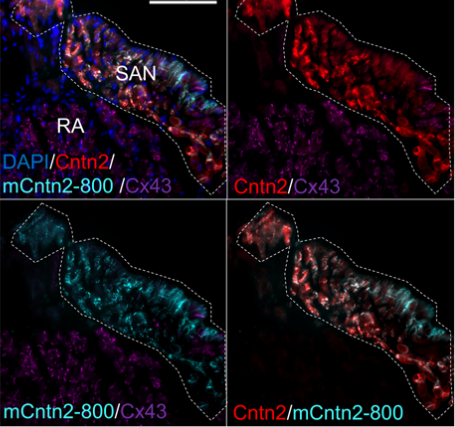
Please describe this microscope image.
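The cells inside the band are brightly stained in red and cyan, and the two colours overlap across the band. Blue nuclei are scattered among them. The adjacent atrial tissue lacks the red and cyan staining and shows only a fine punctate purple signal.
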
